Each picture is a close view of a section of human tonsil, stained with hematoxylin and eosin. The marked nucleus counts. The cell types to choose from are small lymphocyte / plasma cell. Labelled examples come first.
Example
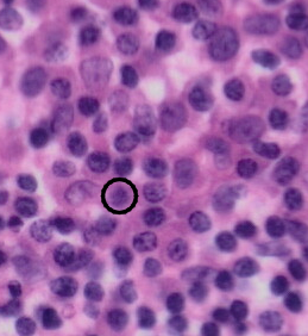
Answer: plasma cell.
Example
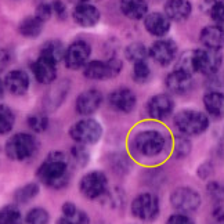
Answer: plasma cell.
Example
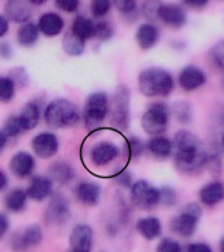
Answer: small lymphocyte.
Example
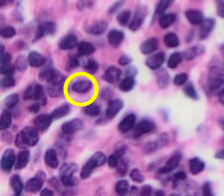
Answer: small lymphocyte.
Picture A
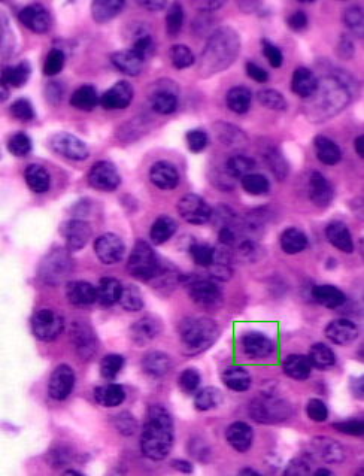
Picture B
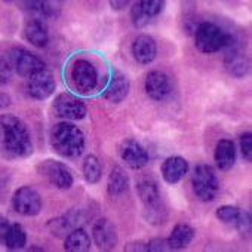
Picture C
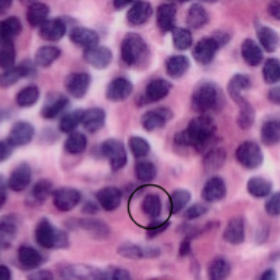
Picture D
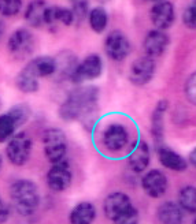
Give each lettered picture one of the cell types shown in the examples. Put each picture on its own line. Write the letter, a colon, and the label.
A: plasma cell.
B: plasma cell.
C: small lymphocyte.
D: plasma cell.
